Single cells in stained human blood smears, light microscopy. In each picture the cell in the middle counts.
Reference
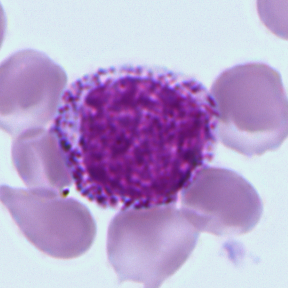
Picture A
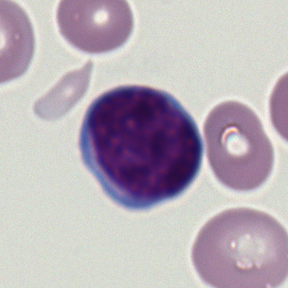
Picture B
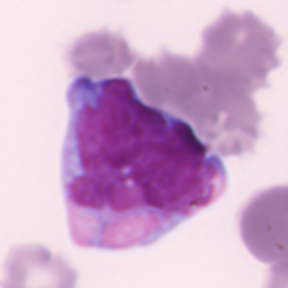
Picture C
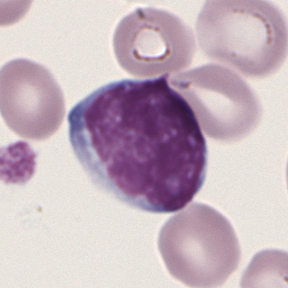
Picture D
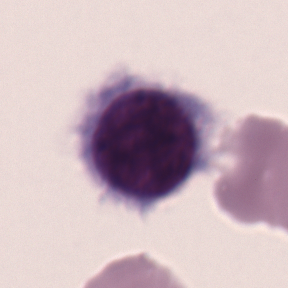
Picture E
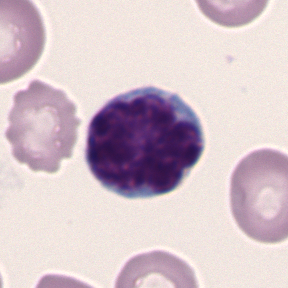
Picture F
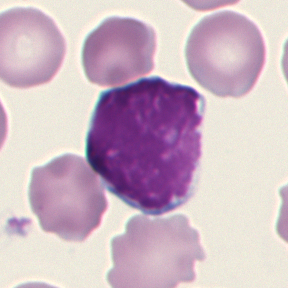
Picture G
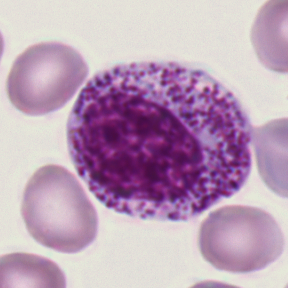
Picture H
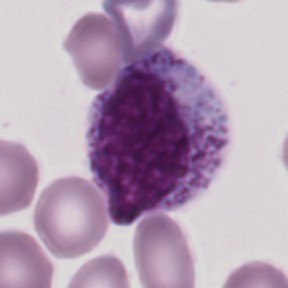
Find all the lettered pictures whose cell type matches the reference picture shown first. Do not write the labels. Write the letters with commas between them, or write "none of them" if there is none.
G, H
